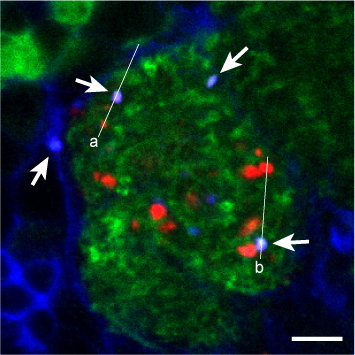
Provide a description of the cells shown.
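This is a single optical slice through an oval olfactory glomerulus, a compact ball of neuropil filled with a fine, granular green meshwork. At the lower left edge, thin blue outlines encircle round profiles lying outside the glomerulus, and green-filled cell bodies sit at the upper left corner.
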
